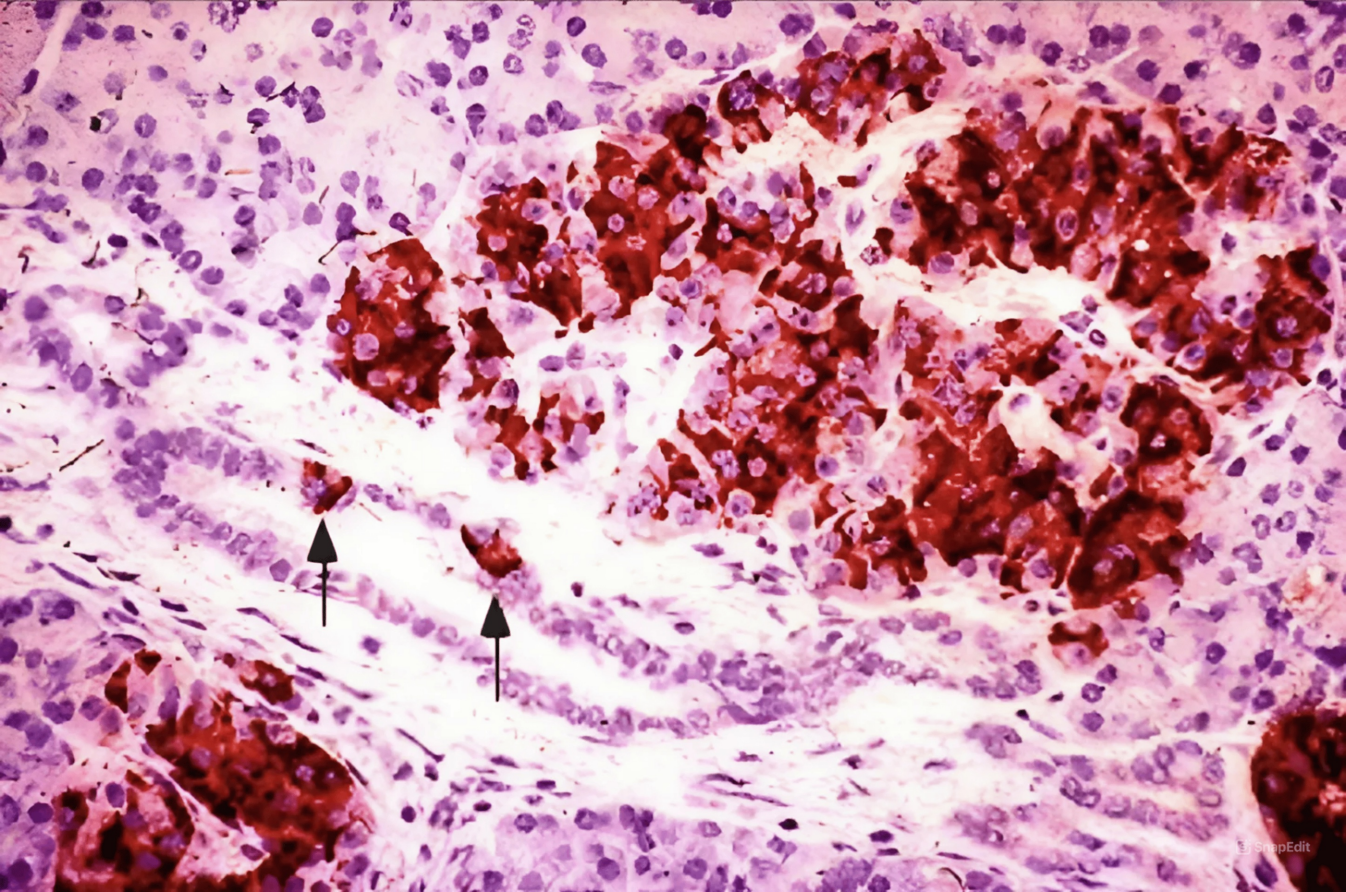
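This is glandular tissue in which a large islet fills the upper right, made of clustered cells whose cytoplasm is stained a deep red-brown around round purple nuclei. Around it lie unstained cells with purple nuclei and pale pink cytoplasm. The unstained cells in the middle run in long strands of crowded nuclei, and next to one of these strands sit two tiny red-brown clusters of only one or a few cells.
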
